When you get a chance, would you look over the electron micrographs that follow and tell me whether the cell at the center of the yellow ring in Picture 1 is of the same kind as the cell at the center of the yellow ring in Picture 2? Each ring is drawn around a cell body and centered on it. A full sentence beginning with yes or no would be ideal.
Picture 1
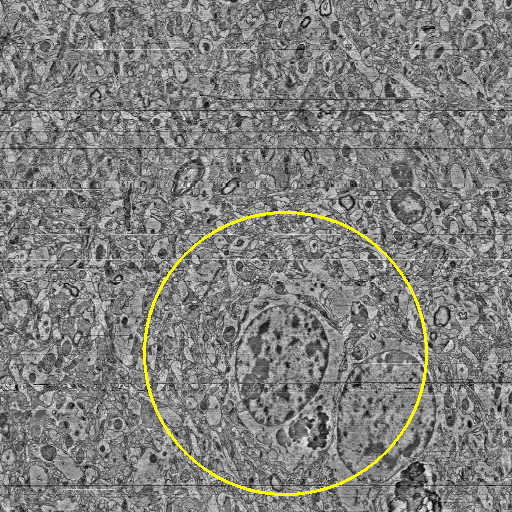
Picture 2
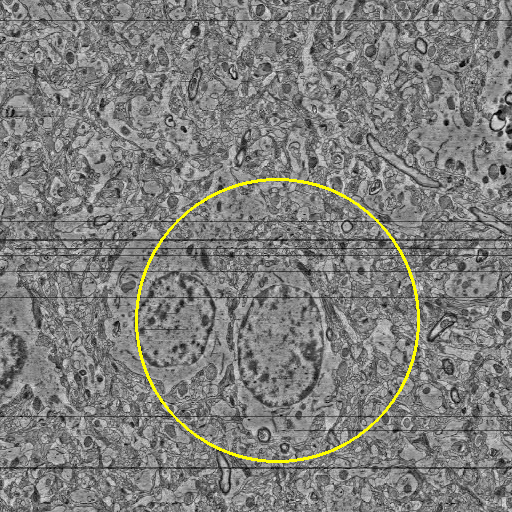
Yes, the two cells are of the same kind.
